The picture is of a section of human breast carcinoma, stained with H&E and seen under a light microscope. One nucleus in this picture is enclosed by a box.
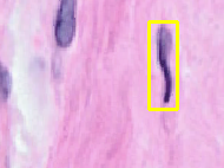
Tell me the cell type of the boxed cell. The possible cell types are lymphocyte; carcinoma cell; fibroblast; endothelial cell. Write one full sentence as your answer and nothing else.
Histopathologically, the boxed cell is a fibroblast.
